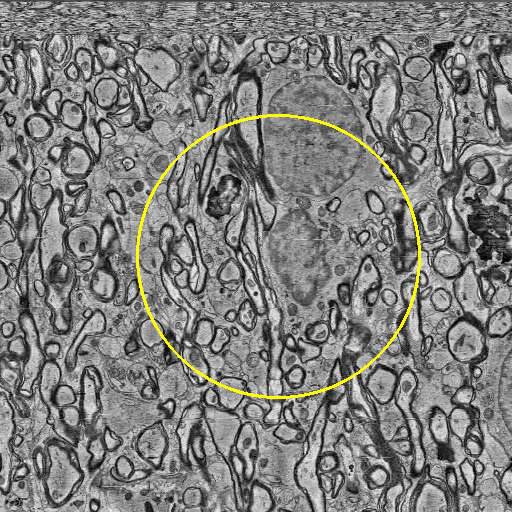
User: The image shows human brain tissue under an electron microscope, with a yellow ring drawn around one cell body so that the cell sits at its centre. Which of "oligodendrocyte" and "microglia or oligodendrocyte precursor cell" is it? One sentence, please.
At the centre of the ring sits an oligodendrocyte.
